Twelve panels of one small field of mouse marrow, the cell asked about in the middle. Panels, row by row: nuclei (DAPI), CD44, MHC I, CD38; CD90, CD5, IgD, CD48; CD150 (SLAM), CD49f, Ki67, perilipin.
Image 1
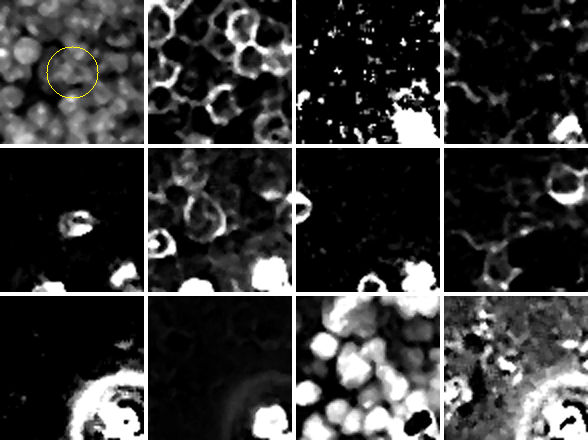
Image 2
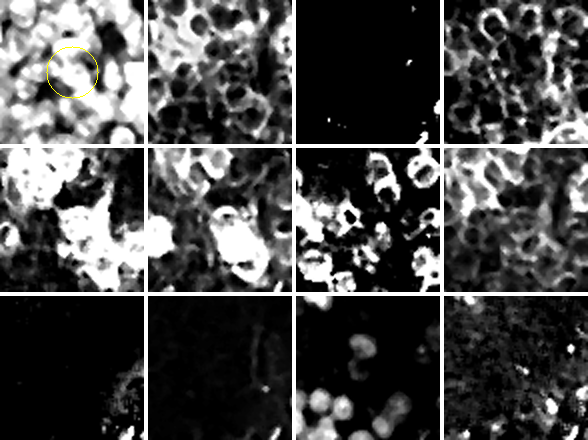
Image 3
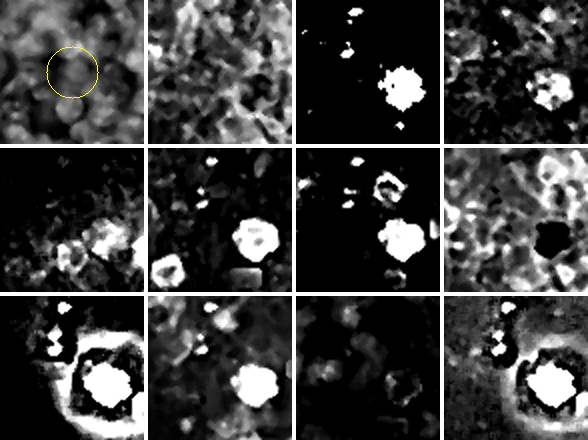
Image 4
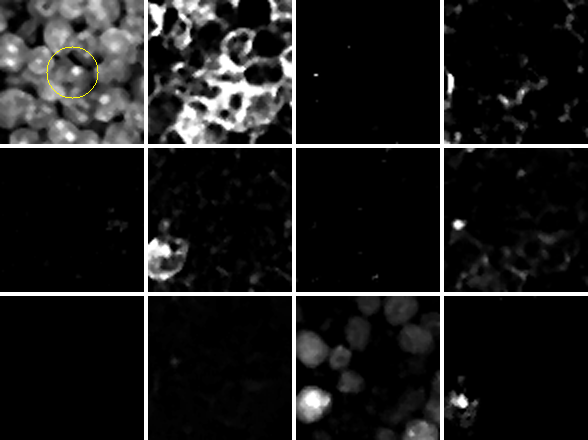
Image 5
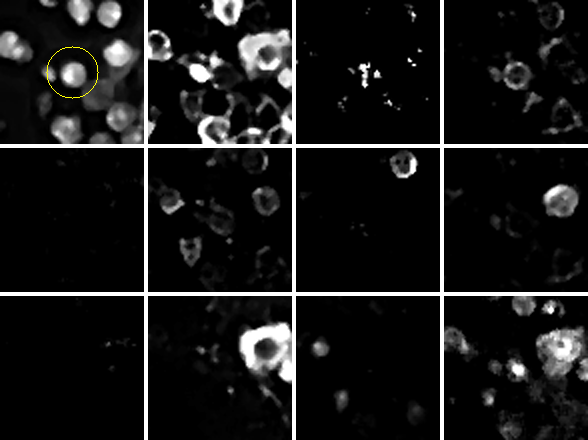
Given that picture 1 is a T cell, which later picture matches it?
2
